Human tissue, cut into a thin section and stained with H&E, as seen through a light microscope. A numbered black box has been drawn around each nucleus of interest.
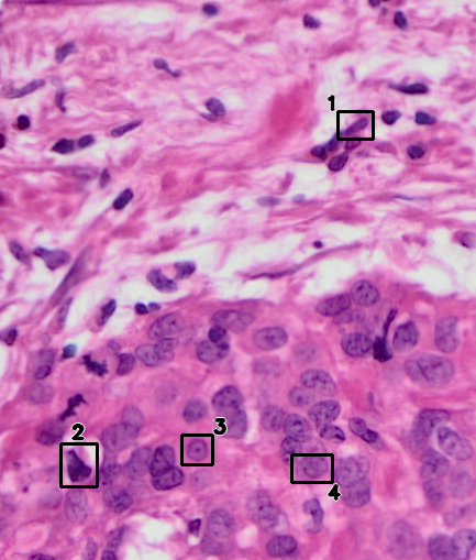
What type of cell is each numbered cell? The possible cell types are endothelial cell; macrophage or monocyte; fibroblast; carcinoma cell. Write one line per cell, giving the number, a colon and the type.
1: macrophage or monocyte
2: carcinoma cell
3: carcinoma cell
4: carcinoma cell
